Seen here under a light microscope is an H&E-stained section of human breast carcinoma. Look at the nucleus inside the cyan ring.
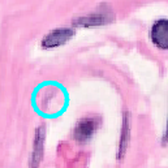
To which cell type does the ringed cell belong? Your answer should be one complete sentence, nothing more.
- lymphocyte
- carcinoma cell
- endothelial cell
Cell type answer for this item: the ringed cell is an endothelial cell.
